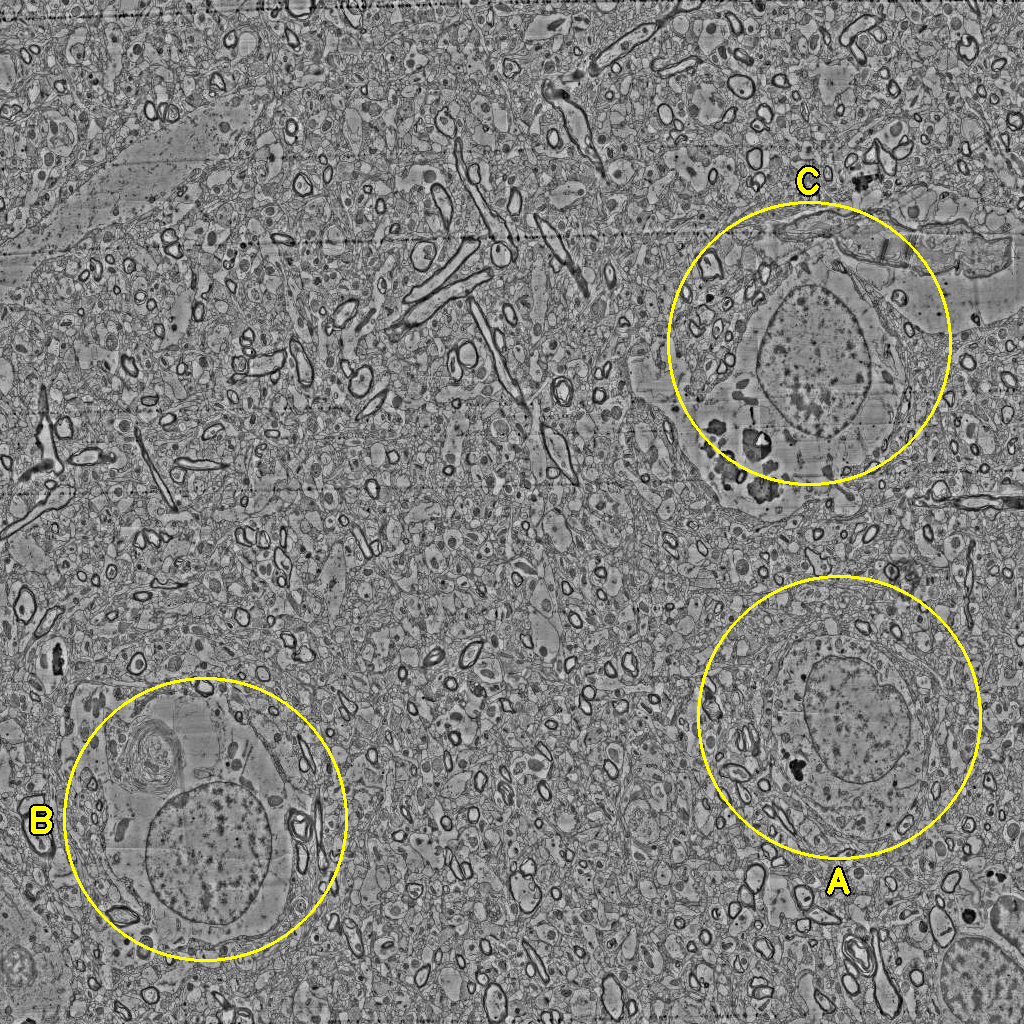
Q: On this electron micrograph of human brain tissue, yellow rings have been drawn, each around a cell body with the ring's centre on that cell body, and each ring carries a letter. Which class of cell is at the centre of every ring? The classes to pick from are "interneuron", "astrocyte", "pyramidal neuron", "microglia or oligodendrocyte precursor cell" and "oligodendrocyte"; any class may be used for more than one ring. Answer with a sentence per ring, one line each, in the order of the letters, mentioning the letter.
The centre of ring A is occupied by a pyramidal neuron.
The centre of ring B is occupied by an astrocyte.
The centre of ring C is occupied by an astrocyte.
